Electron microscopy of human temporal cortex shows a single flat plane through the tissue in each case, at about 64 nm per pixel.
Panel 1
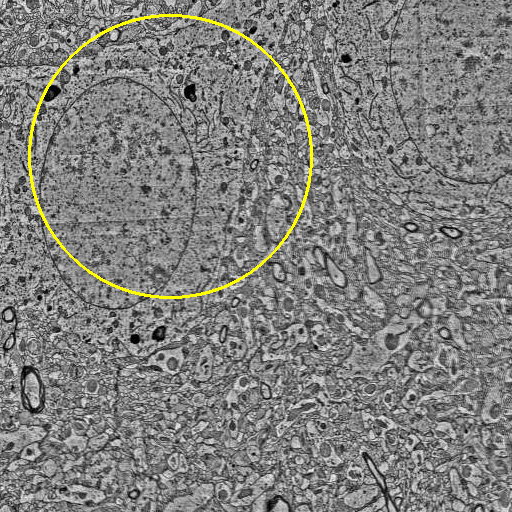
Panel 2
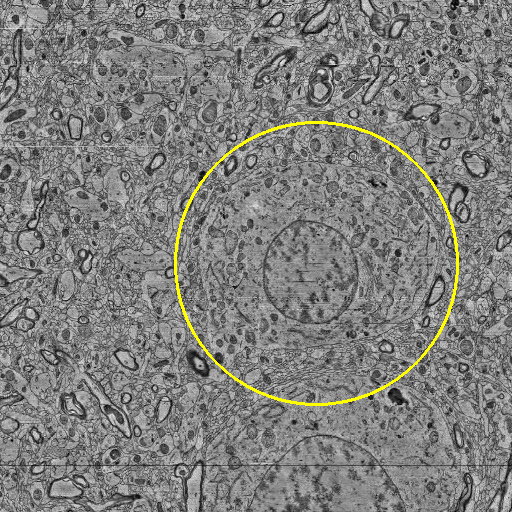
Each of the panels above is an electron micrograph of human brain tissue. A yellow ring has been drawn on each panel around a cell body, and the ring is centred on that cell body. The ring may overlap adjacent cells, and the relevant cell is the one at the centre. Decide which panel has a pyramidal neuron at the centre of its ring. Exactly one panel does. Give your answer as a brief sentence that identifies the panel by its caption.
Panel 1 is the one with it at the centre of the ring.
